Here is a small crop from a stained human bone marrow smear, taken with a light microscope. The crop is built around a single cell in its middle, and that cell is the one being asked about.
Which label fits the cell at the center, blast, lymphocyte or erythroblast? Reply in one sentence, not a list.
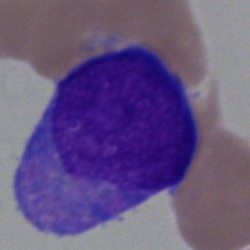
Within this crop, a blast occupies the central position.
